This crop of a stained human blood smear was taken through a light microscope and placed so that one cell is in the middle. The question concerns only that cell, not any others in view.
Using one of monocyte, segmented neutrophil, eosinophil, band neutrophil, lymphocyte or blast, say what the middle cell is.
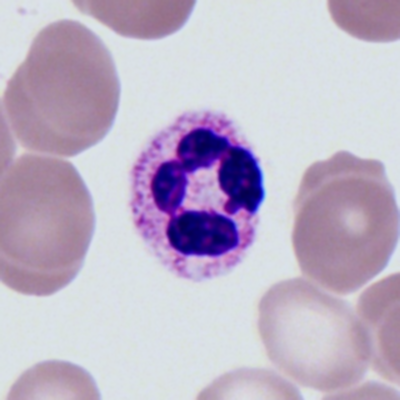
segmented neutrophil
